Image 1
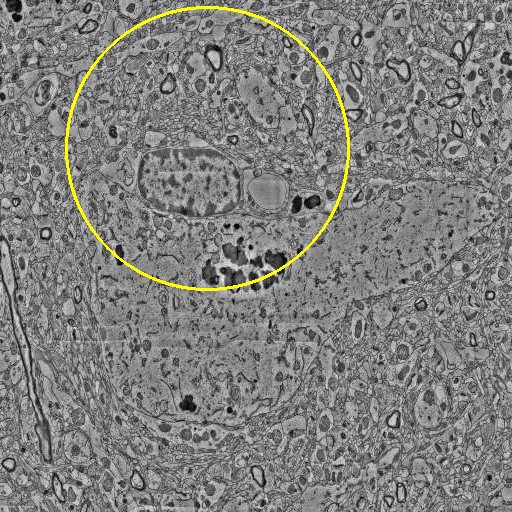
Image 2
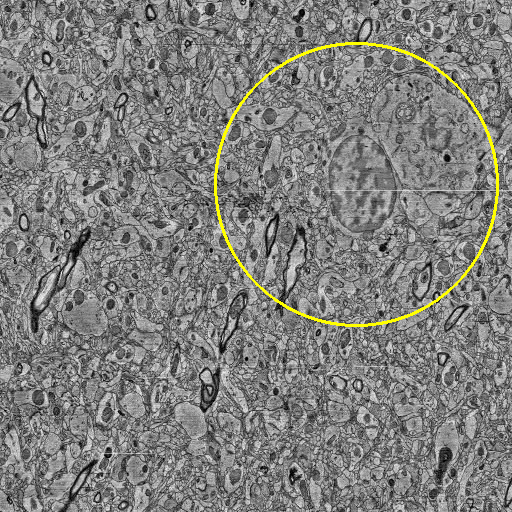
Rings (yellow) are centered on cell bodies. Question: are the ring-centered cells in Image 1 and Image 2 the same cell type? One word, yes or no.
no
